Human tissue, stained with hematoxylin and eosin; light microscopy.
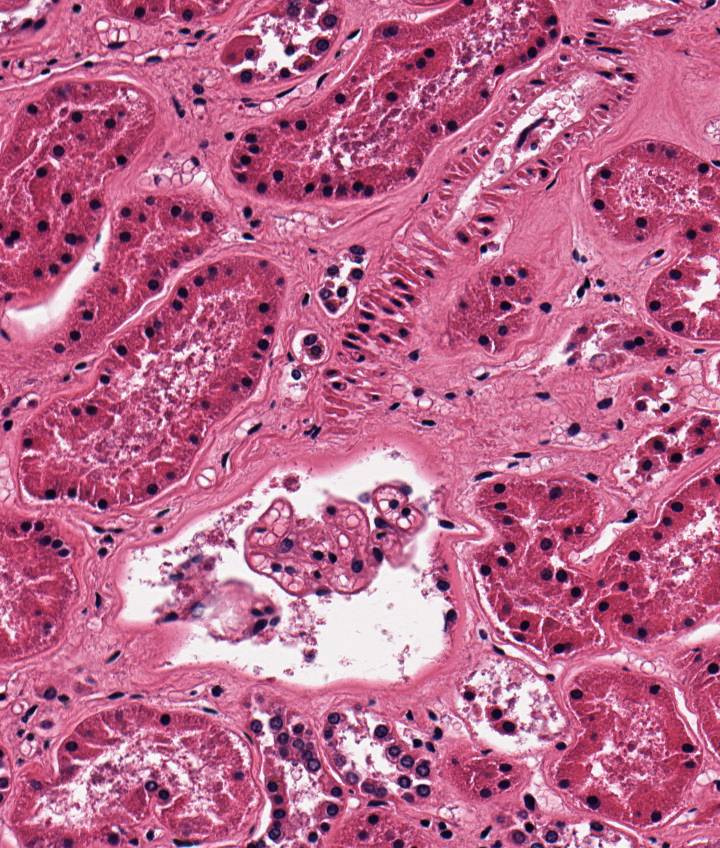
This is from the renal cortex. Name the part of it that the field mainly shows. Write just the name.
cortical labyrinth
